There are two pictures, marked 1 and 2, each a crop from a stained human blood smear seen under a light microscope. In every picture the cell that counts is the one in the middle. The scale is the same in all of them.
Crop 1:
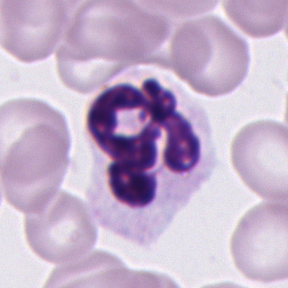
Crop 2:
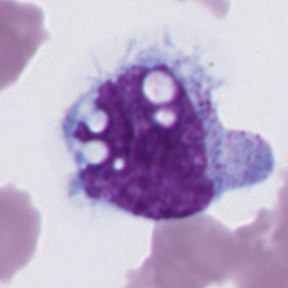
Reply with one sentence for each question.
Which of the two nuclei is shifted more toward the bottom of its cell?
The nucleus in crop 2 lies further toward the bottom of its cell.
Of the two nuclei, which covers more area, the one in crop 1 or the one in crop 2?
It is the nucleus in crop 2, about 1.5 times as large in area as the one in crop 1.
